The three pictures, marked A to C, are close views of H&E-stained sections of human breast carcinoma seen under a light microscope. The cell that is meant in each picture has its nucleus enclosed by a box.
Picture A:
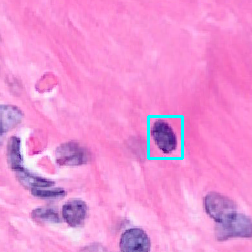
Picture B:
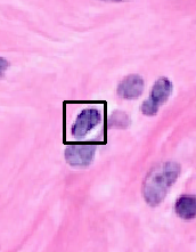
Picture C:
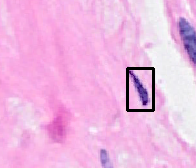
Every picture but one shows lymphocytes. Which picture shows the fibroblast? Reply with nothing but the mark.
C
